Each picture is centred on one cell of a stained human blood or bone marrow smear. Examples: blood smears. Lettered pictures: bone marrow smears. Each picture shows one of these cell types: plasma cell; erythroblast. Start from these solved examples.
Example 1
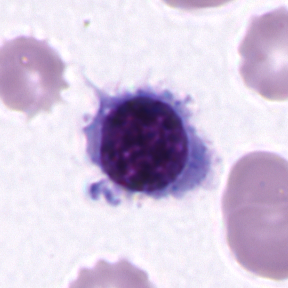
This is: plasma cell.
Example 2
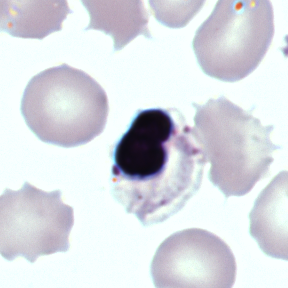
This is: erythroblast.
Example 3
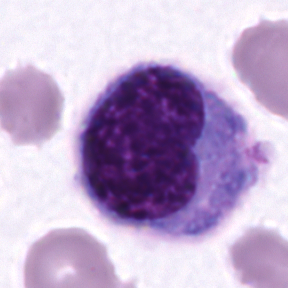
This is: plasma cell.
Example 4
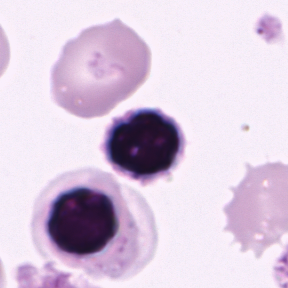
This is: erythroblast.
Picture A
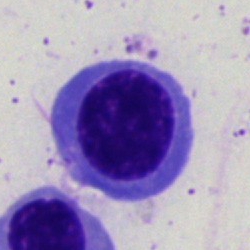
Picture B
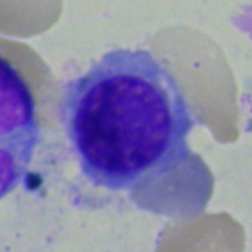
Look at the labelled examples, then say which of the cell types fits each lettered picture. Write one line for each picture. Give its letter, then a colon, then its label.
A: erythroblast.
B: erythroblast.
